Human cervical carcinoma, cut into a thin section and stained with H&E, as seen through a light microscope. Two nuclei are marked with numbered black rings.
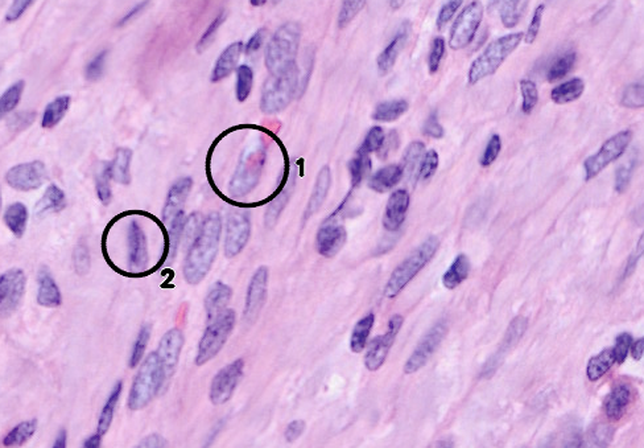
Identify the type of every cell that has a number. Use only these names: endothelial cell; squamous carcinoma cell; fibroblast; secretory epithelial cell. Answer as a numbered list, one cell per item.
1. endothelial cell
2. fibroblast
